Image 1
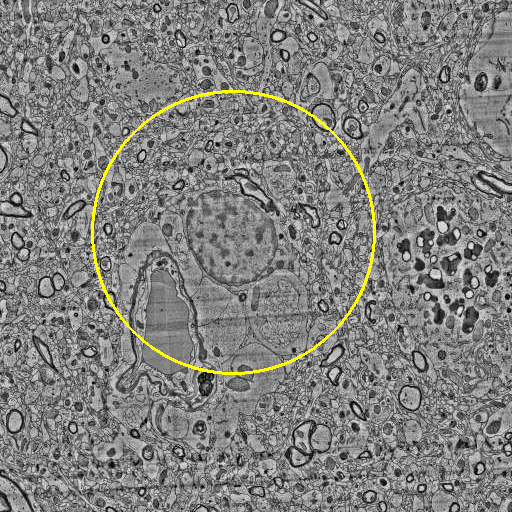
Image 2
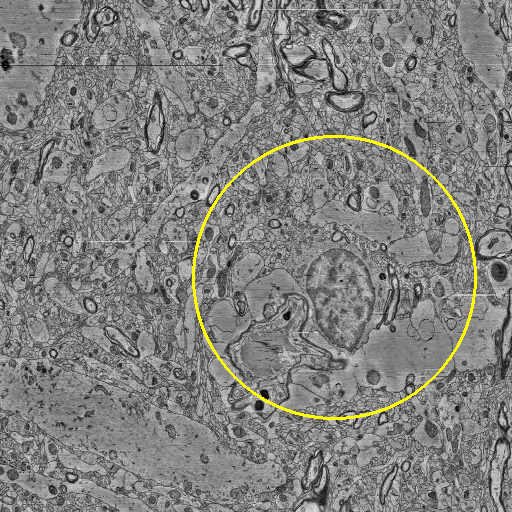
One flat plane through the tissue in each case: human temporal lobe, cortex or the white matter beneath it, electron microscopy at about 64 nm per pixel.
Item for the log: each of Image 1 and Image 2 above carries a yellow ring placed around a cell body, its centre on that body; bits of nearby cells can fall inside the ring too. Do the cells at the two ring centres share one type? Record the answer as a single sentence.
Yes, the two cells at the ring centres in Image 1 and Image 2 share one type.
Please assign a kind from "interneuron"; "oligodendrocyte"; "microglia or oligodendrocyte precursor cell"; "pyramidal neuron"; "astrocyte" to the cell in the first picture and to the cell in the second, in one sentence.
In the first picture and in the second, the ring is centred on an oligodendrocyte.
